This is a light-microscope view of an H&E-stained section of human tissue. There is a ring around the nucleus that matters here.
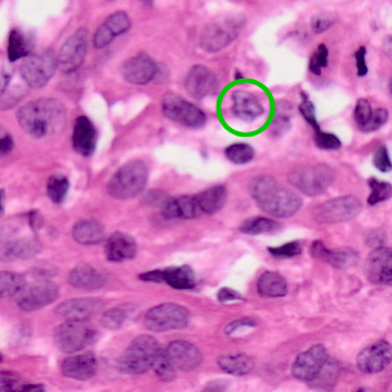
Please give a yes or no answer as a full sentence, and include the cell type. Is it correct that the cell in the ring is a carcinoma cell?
No, the cell in the ring is put down as a macrophage or monocyte, not as a carcinoma cell.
